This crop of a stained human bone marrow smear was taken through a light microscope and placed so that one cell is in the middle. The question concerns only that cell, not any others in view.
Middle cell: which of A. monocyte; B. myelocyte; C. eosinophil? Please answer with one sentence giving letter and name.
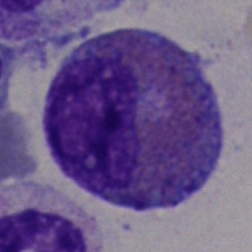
Option C is the correct selection, for the cell at the centre is an eosinophil.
